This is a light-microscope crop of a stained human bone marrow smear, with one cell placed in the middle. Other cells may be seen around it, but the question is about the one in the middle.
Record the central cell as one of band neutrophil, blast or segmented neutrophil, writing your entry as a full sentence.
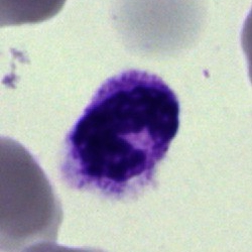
To answer, the cell in the center of the crop is a band neutrophil.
